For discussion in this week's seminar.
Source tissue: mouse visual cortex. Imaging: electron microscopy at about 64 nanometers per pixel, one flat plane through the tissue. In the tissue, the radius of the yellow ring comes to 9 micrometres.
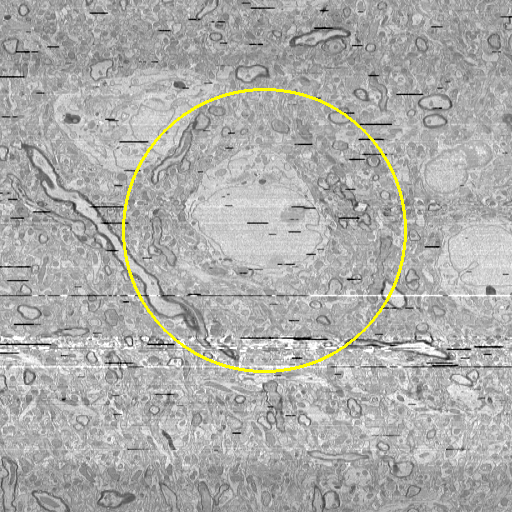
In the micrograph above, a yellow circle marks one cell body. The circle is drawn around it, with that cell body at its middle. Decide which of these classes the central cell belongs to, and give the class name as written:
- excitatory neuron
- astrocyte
excitatory neuron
